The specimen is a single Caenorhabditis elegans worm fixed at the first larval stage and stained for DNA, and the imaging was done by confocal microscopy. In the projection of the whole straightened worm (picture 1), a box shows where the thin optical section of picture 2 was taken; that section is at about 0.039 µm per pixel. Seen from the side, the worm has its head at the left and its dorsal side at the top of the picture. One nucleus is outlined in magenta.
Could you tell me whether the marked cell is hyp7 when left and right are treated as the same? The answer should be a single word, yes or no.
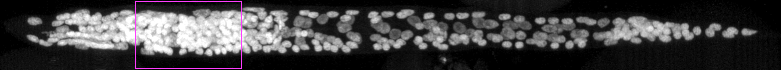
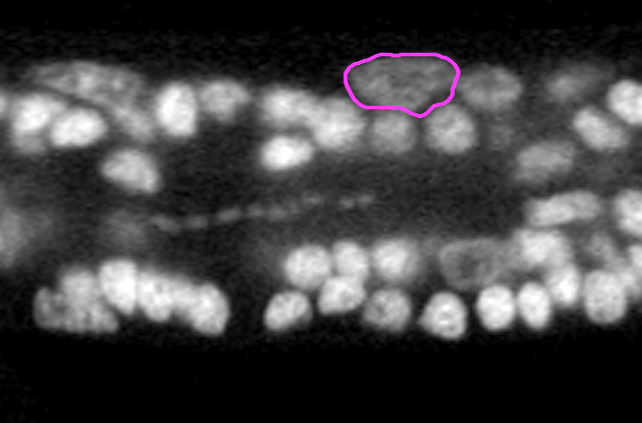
yes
